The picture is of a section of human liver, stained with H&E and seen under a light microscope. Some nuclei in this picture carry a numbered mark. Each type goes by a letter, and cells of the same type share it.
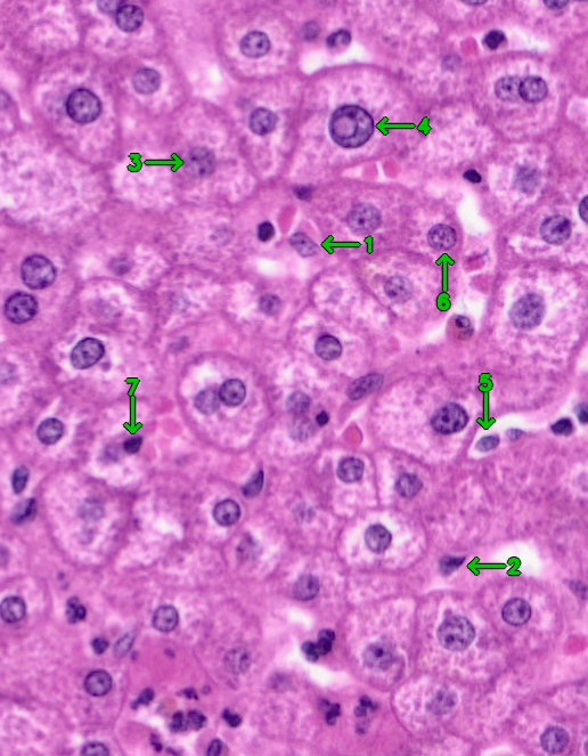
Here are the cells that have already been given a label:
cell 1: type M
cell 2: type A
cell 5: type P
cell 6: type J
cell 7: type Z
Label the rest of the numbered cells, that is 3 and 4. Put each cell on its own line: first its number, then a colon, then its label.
3: type J
4: type J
